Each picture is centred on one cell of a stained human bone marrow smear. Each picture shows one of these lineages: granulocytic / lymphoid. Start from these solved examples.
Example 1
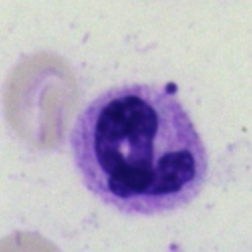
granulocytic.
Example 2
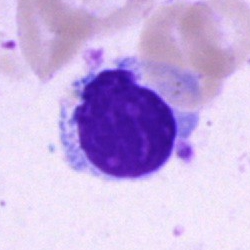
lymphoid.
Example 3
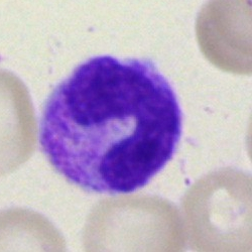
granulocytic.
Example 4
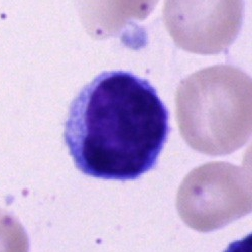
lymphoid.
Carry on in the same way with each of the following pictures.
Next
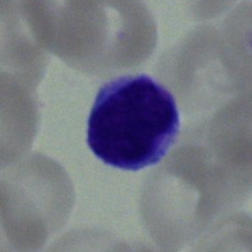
lymphoid.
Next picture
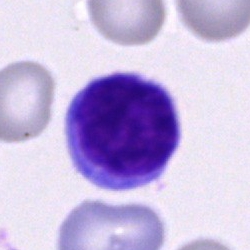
lymphoid.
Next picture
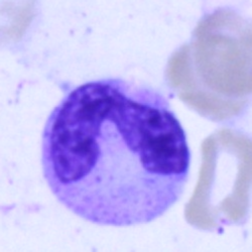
granulocytic.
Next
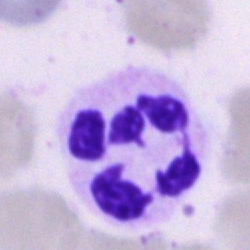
granulocytic.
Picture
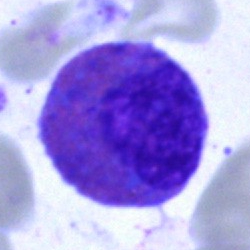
granulocytic.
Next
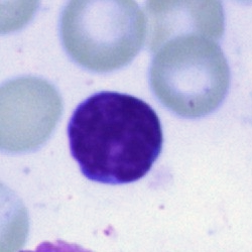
lymphoid.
